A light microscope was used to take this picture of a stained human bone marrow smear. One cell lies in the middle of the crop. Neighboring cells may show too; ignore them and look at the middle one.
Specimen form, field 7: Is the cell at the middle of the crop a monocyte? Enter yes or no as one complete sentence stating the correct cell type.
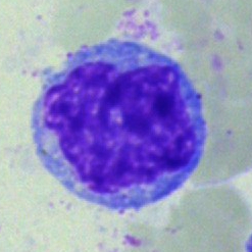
Yes, the cell at the centre of this crop is identified as a monocyte.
